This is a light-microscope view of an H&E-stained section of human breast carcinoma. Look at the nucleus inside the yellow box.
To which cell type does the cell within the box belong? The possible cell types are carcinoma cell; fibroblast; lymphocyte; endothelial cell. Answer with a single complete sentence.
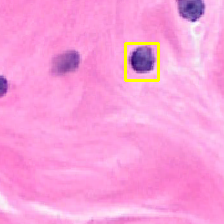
The correct response here is that the cell within the box is a lymphocyte.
